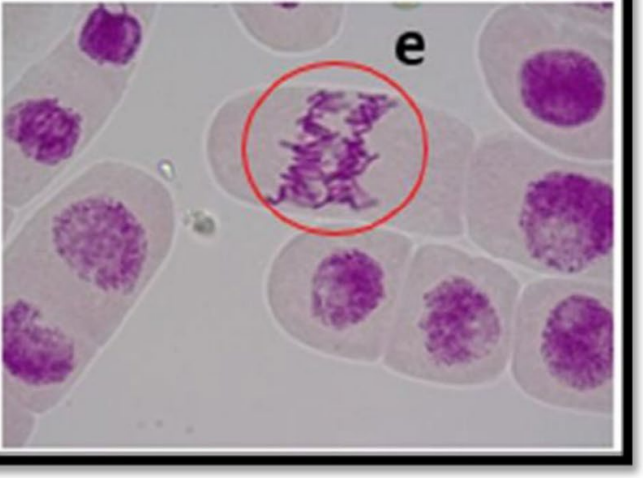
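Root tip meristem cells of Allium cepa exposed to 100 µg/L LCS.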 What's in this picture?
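Most have a single large round nucleus stained purple with granular chromatin, as in interphase. The circled cell in the middle is dividing. Its chromosomes, dark magenta and condensed, lie in an irregular, ragged band across the cell rather than in two neat, separate groups. Some strands look stretched and tangled between the groups.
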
